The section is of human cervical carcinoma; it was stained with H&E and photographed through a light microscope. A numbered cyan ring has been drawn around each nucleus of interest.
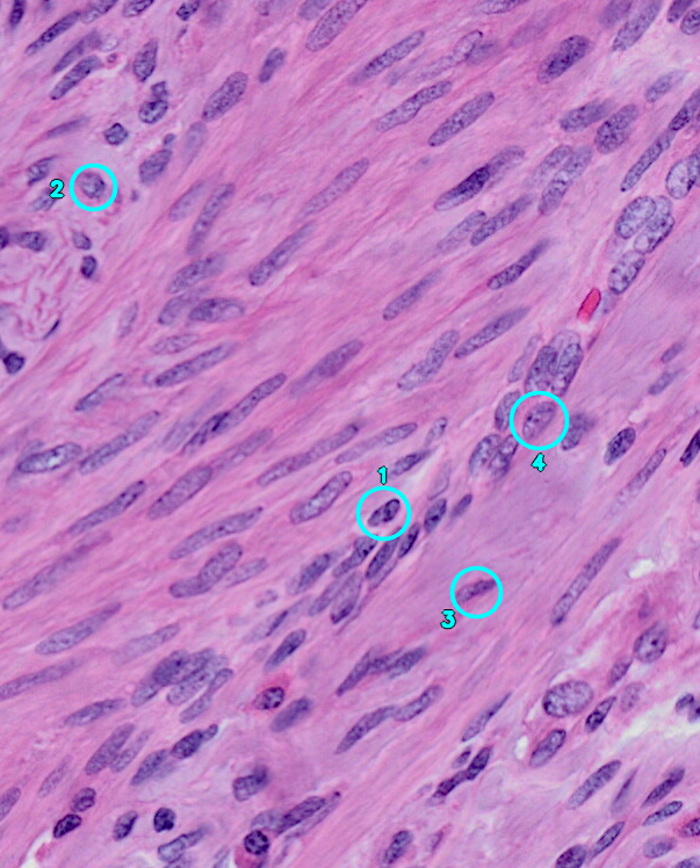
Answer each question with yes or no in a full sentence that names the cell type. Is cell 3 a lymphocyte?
No, cell 3 is not a lymphocyte at all but a smooth muscle cell.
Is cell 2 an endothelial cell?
No, number 2 identifies a smooth muscle cell, not an endothelial cell.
